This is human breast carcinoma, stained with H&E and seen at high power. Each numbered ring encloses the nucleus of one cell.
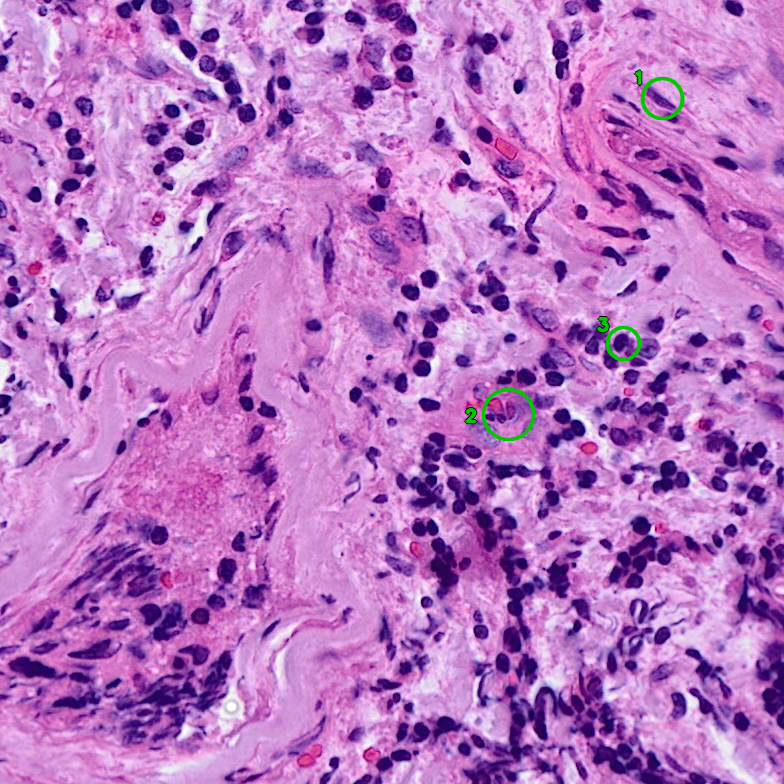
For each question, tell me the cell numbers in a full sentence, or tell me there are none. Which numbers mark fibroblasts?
Among the numbered cells, the one that is a fibroblast is cell 1 alone.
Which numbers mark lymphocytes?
Across all the numbered cells, only number 3 is a lymphocyte.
